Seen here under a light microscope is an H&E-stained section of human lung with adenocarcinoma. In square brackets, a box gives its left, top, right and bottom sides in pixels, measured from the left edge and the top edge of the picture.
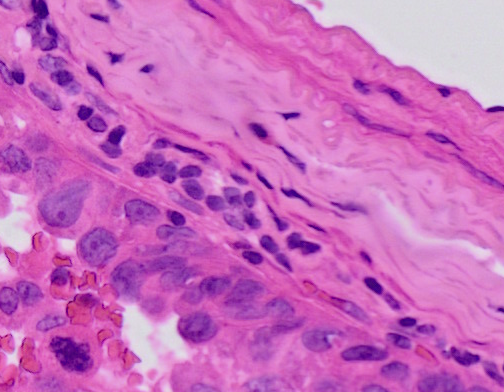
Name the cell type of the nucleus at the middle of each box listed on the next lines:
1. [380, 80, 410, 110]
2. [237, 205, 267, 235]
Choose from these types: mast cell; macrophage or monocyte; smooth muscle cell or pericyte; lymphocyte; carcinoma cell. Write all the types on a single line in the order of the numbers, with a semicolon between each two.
smooth muscle cell or pericyte; lymphocyte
